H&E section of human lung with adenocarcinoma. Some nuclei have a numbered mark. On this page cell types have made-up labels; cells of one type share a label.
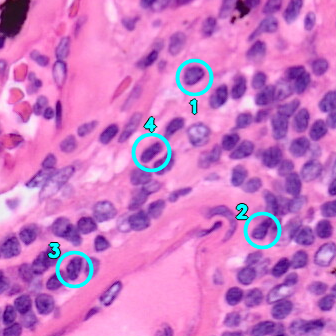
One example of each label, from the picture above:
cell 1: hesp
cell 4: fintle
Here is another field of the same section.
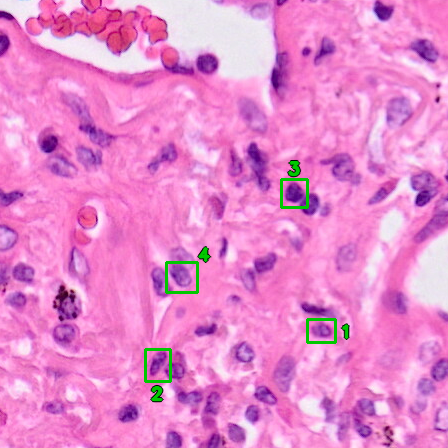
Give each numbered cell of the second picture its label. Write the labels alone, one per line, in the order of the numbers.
hesp
hesp
fintle
fintle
